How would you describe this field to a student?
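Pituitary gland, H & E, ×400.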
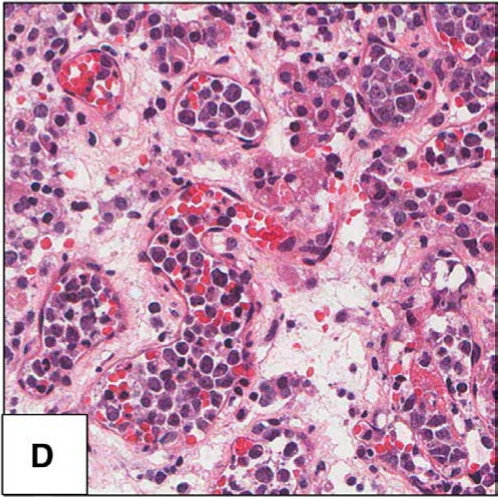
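This shows small vessels whose lumina are filled by clusters of large tumor cells. Each vessel is bounded by a thin wall of flat lining cells, and inside lie tight groups of large round cells with dark, large nuclei and scant cytoplasm, mingled with red blood cells. The clusters fill or nearly fill the lumina. Between the vessels lies loose, pale, delicate stroma with scattered smaller cells. The tumor cells stay inside the vessel outlines rather than spreading as a sheet through the surrounding tissue.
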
